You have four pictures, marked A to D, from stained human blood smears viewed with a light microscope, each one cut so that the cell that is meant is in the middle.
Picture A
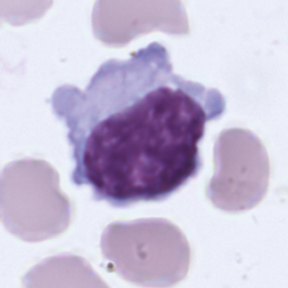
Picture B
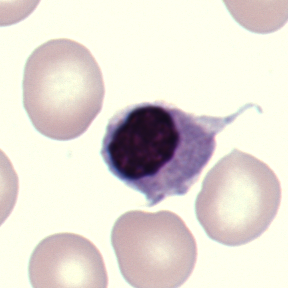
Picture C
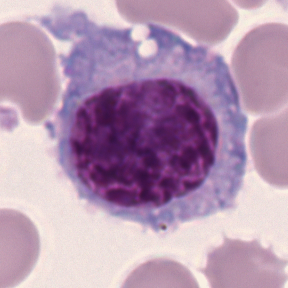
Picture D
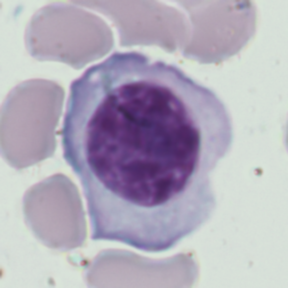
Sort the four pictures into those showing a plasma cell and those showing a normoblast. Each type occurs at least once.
A: plasma cell
B: normoblast
C: plasma cell
D: plasma cell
